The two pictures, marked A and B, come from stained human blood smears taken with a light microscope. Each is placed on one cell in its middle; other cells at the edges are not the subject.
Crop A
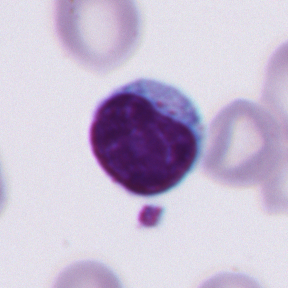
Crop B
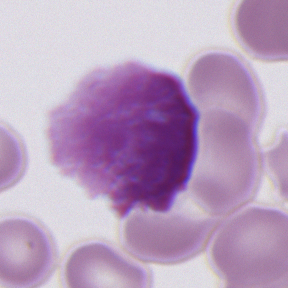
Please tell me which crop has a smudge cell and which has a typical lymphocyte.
A: typical lymphocyte
B: smudge cell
